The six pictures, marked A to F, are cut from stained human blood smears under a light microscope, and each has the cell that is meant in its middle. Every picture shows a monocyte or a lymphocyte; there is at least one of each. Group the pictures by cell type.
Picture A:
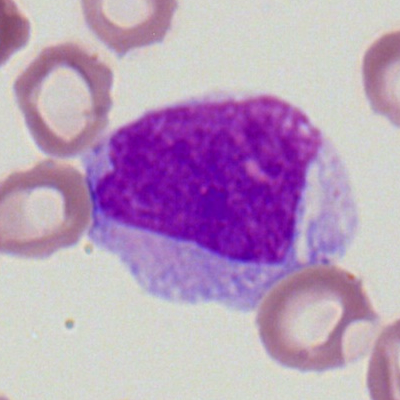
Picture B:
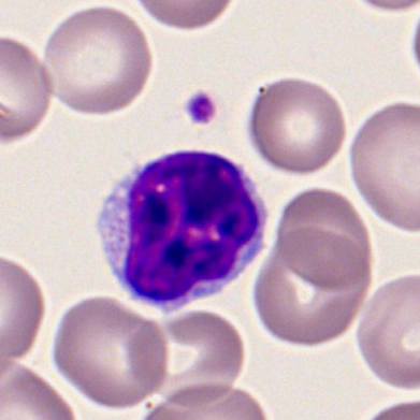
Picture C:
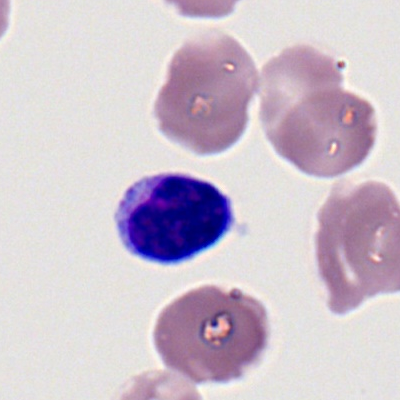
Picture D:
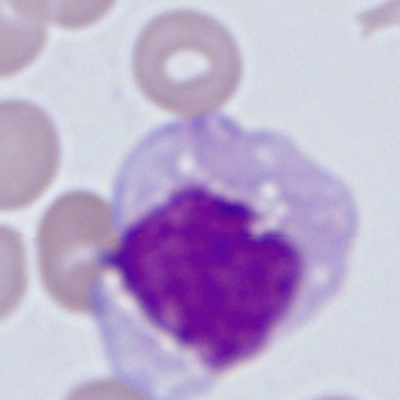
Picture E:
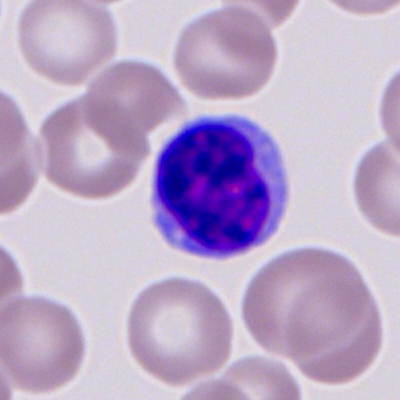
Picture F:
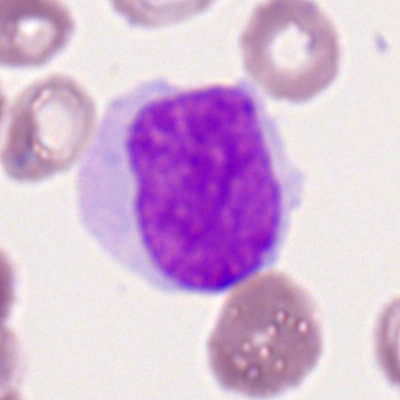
A: monocyte
B: lymphocyte
C: lymphocyte
D: monocyte
E: lymphocyte
F: monocyte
